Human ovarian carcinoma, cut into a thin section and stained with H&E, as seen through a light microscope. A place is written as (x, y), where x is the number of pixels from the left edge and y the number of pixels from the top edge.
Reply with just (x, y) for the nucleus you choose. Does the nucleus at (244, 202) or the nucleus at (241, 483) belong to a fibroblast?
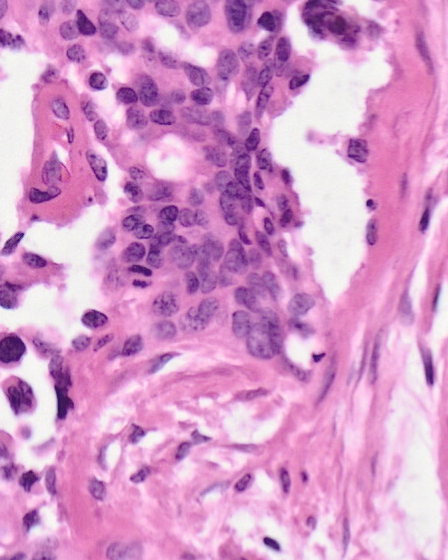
(241, 483)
